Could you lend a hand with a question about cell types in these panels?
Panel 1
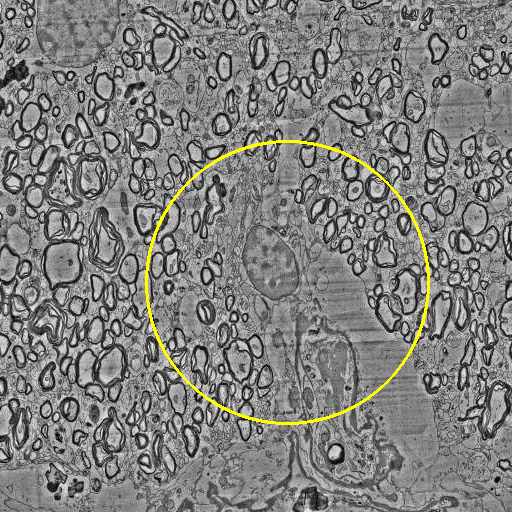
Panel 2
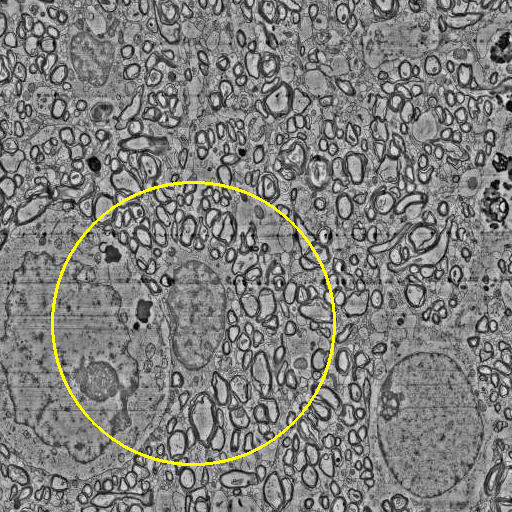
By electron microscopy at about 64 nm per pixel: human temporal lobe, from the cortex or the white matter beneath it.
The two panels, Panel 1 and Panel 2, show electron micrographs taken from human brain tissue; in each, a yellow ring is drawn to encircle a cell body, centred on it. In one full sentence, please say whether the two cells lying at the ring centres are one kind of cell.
No, the cells at the ring centres in the two panels are two kinds of cell.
